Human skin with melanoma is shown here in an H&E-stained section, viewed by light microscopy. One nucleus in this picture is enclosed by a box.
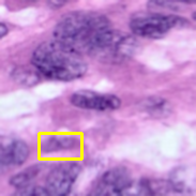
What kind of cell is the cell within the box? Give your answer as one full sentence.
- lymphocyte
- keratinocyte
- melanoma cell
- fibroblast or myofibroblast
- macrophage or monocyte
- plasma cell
Just put down that the cell within the box is a melanoma cell.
